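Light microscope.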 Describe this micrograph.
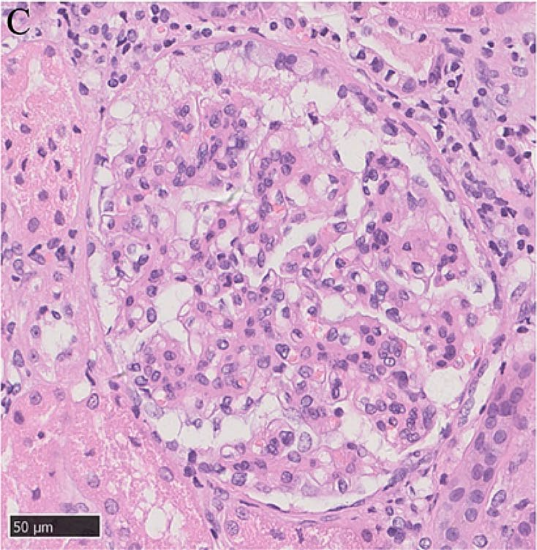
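A kidney glomerulus is shown with mesangial cell proliferation and mesangial matrix expansion. The tuft is lobulated and hypercellular, with many crowded, rounded purple nuclei in the centres of the lobules. Pink matrix between the capillary loops is increased. Around the tuft lies a clear space bounded by a thin capsule. Tubules with pink cytoplasm surround the glomerulus.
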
